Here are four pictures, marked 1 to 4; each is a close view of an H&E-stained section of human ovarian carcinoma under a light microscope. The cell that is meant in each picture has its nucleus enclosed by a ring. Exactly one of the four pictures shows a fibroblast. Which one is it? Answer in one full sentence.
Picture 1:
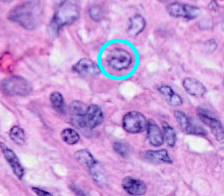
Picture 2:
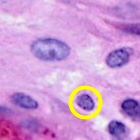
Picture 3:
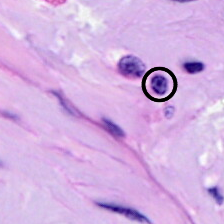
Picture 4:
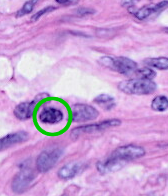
The cell in picture 1 is the fibroblast.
